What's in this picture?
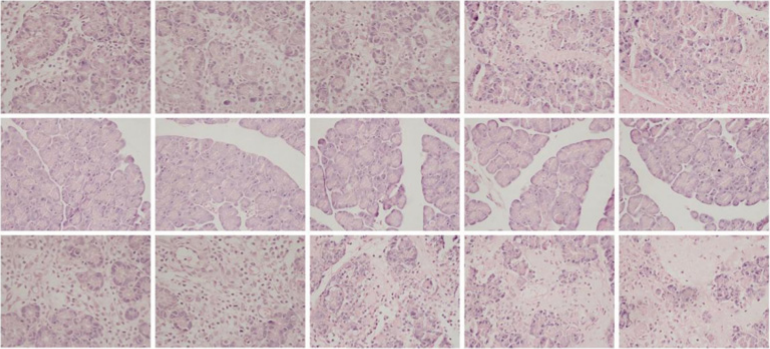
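This is a grid of fifteen small sections of pancreas, stained pink and purple, with the exocrine tissue arranged in lobules of packed acini. In some sections the lobules are compact. Their acinar cells are pink with small purple nuclei, and the lobules are separated only by clear, pale spaces between them. In other sections the tissue is looser and paler. The acini are less orderly, and many small dark nuclei lie scattered between them. In the most disturbed sections, the regular lobular pattern is largely lost. Pale, washed-out areas with scattered nuclei replace much of the acinar tissue.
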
